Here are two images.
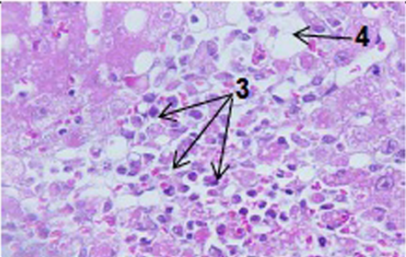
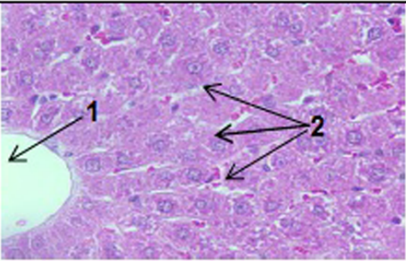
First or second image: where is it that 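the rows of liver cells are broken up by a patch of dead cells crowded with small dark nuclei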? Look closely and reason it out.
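First image: a patch crowded with small dark nuclei and red cells replaces the hepatocyte rows, and there are clear vacuoles. Second image: regular rows of polygonal hepatocytes with round nuclei around a central lumen. So: the first image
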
